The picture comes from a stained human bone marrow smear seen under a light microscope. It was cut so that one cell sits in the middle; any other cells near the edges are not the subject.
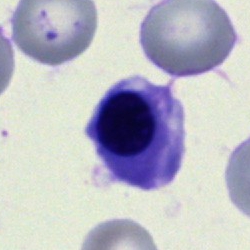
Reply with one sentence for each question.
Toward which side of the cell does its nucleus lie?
Seen from the middle of the cell, the nucleus lies toward the upper left.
